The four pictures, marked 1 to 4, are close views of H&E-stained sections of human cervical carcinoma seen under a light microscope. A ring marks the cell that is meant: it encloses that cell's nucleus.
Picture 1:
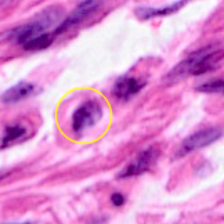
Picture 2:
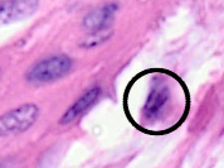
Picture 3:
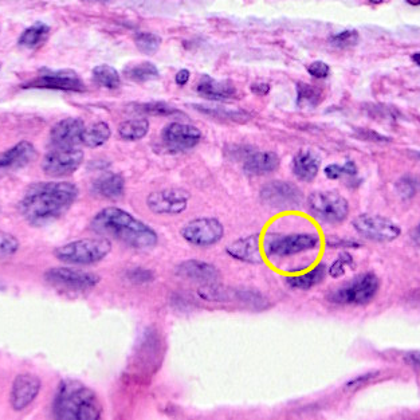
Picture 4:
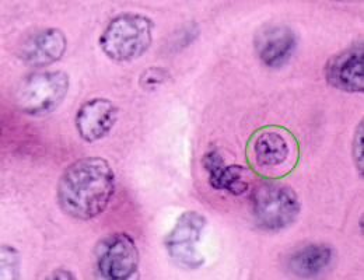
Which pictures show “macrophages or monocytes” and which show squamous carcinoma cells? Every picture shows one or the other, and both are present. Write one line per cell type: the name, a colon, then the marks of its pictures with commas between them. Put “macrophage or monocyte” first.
macrophage or monocyte: 1, 2
squamous carcinoma cell: 3, 4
